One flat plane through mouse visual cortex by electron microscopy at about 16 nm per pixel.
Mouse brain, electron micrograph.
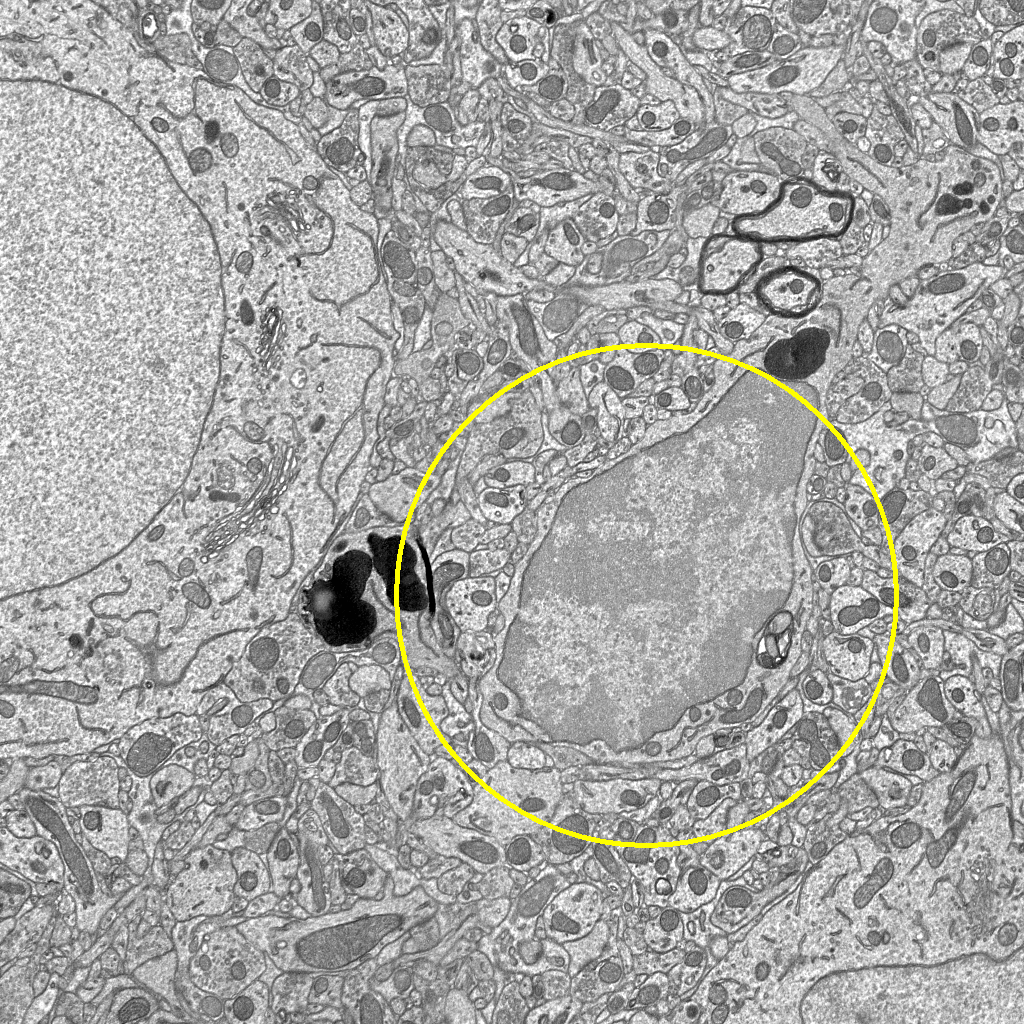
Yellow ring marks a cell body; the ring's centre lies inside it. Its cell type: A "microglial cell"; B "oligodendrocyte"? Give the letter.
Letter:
A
